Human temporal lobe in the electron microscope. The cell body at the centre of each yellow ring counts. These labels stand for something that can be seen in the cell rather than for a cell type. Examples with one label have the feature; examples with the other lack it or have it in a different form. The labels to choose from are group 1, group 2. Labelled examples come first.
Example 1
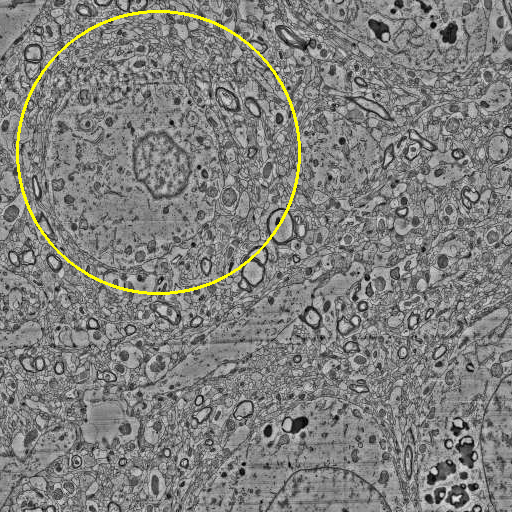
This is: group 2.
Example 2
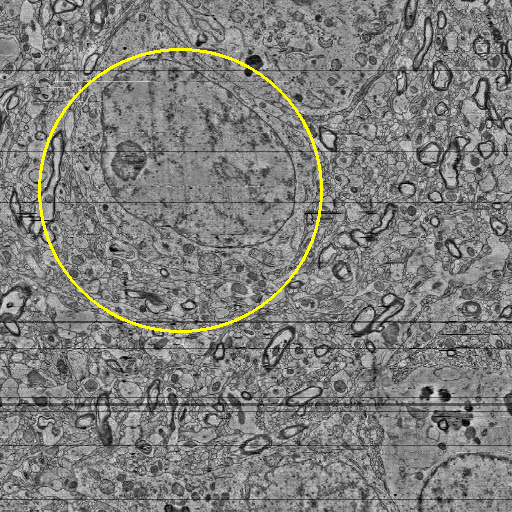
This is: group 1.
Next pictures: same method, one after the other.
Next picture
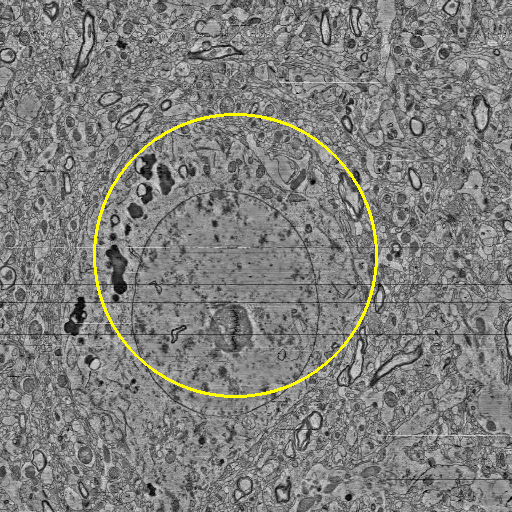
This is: group 1.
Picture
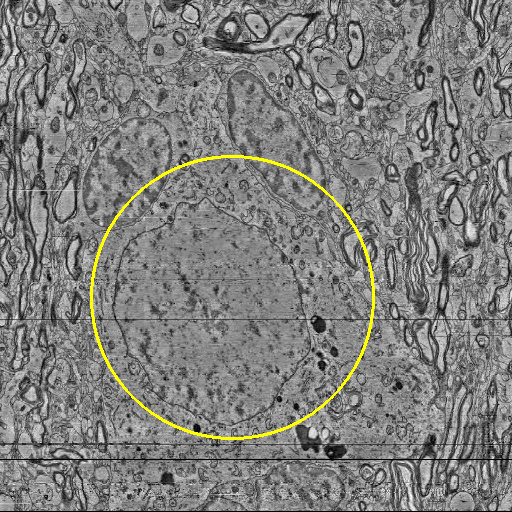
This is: group 2.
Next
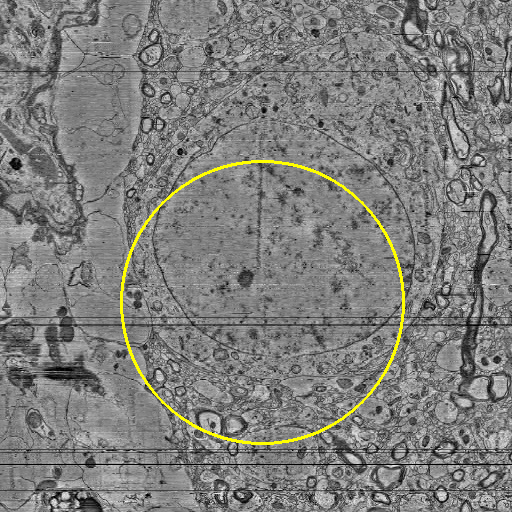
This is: group 1.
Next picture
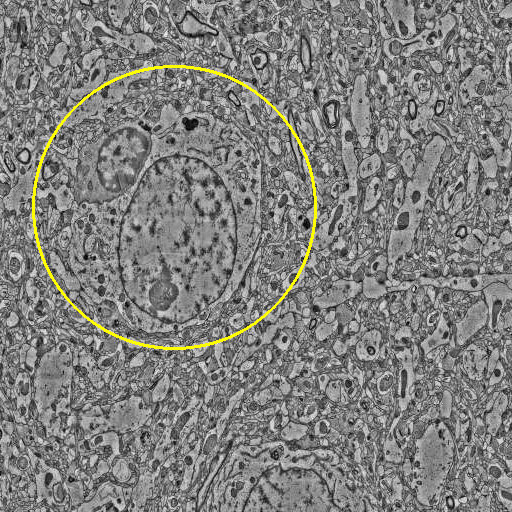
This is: group 1.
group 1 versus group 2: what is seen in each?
Seen in group 1: nucleolus seen; seen in group 2: no nucleolus seen.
